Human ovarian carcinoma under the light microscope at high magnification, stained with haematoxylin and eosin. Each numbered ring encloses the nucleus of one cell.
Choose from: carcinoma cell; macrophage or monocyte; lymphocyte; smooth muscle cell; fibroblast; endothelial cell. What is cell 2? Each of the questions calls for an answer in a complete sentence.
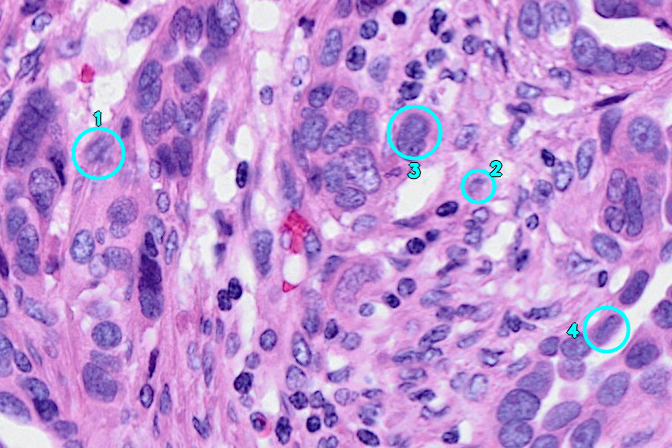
The cell indicated by marker 2 is a fibroblast in this section.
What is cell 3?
The marked nucleus 3 is that of a carcinoma cell.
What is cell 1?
The numeral 1 marks a fibroblast in this section.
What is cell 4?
The one numbered 4 among the marked cells is a carcinoma cell.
